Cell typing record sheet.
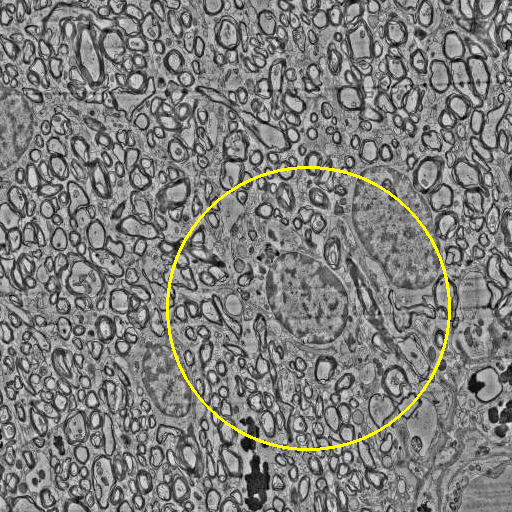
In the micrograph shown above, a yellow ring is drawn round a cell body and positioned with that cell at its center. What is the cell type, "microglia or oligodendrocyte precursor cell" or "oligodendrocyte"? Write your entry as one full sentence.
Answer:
The cell body at the center of the ring belongs to a microglial cell or oligodendrocyte precursor cell.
